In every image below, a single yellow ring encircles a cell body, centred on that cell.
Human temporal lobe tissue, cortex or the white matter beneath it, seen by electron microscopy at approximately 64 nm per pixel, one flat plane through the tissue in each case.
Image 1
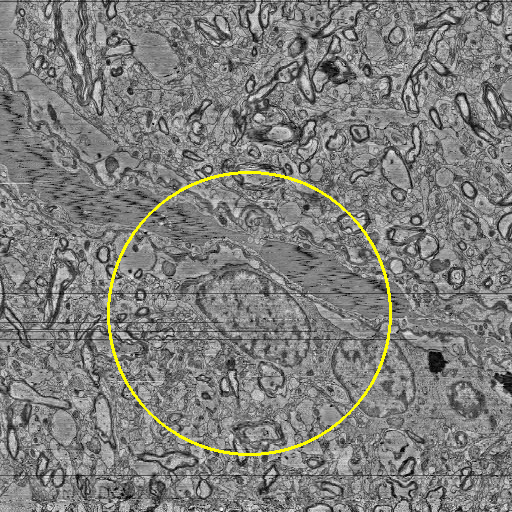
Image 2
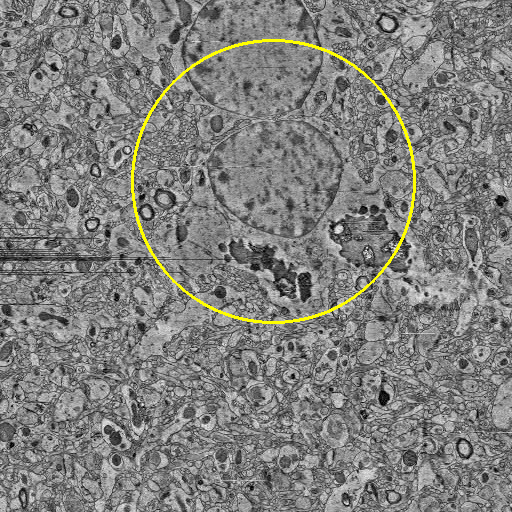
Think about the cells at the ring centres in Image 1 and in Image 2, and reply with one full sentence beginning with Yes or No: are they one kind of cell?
No, the cells centred in the rings of Image 1 and Image 2 are two kinds of cell.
